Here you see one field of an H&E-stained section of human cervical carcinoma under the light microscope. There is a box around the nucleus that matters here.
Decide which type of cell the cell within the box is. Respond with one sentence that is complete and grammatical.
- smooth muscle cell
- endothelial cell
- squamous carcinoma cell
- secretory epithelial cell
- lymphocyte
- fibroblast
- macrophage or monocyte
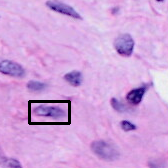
Placed in its cell category, the cell within the box is a smooth muscle cell.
